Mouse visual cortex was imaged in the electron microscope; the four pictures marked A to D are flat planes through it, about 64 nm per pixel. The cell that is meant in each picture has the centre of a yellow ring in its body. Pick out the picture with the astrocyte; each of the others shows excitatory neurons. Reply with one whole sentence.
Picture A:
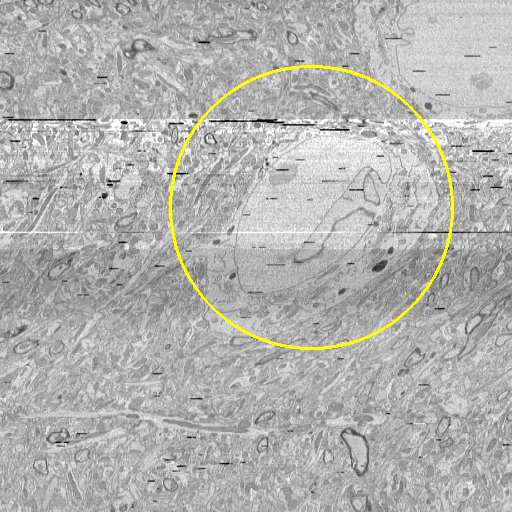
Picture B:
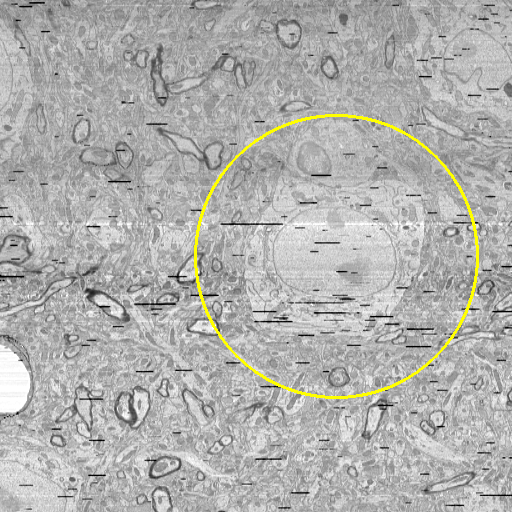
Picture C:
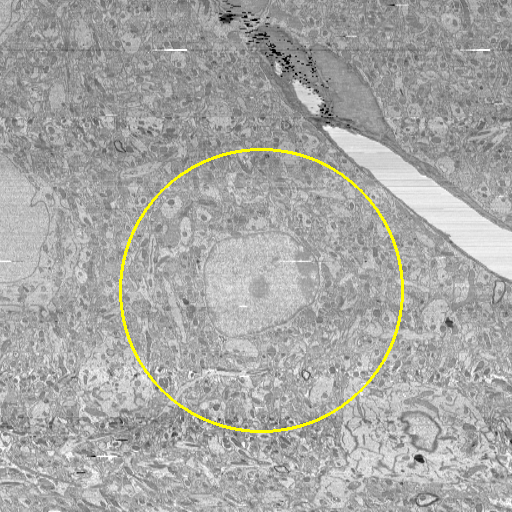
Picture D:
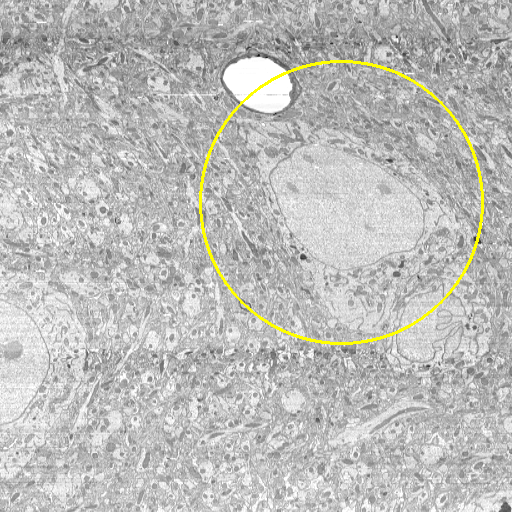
It is picture C that shows the astrocyte.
